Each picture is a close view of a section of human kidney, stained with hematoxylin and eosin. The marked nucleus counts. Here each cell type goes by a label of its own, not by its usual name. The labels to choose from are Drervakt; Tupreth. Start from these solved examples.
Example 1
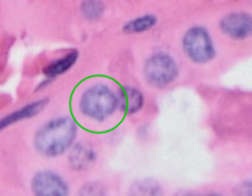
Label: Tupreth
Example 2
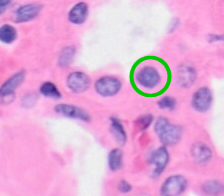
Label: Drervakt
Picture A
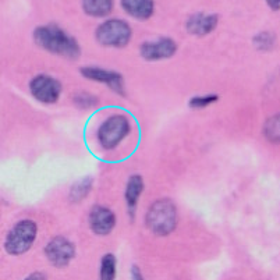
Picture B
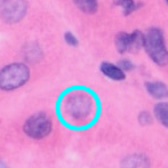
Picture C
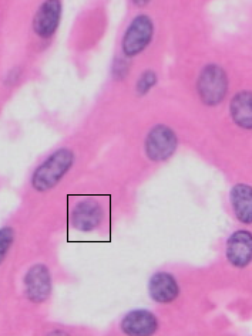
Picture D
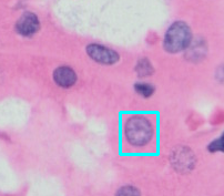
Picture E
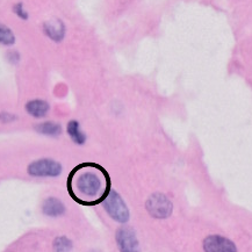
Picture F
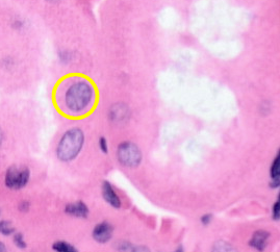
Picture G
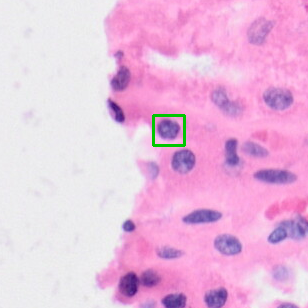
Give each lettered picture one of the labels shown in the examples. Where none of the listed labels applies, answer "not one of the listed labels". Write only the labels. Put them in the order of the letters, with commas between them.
Drervakt, not one of the listed labels, Drervakt, not one of the listed labels, Tupreth, not one of the listed labels, Drervakt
